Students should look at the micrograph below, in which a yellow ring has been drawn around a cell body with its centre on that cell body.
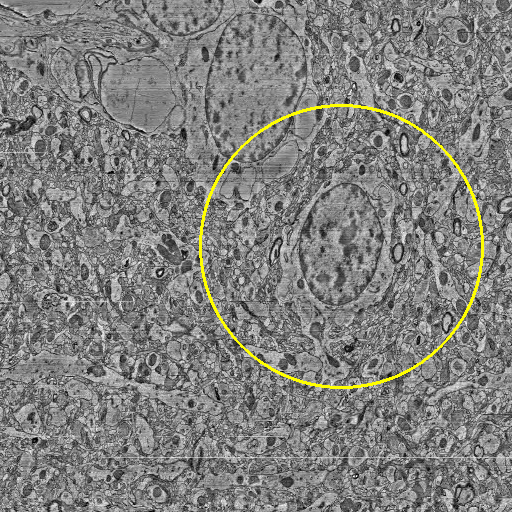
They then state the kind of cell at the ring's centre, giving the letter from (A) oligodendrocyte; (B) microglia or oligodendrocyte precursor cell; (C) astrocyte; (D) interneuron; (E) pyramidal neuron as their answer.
C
